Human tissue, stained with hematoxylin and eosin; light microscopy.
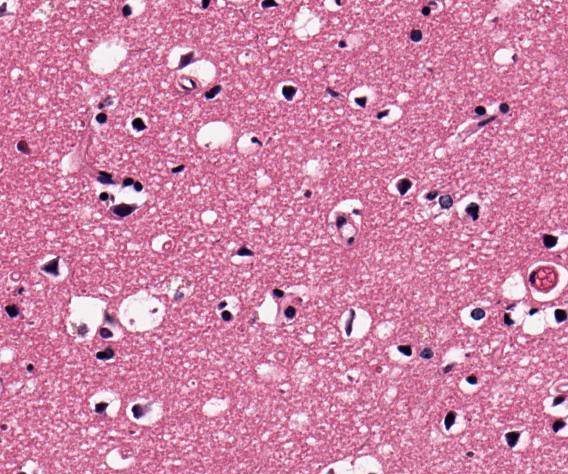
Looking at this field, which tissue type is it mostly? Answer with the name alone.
cerebral cortex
